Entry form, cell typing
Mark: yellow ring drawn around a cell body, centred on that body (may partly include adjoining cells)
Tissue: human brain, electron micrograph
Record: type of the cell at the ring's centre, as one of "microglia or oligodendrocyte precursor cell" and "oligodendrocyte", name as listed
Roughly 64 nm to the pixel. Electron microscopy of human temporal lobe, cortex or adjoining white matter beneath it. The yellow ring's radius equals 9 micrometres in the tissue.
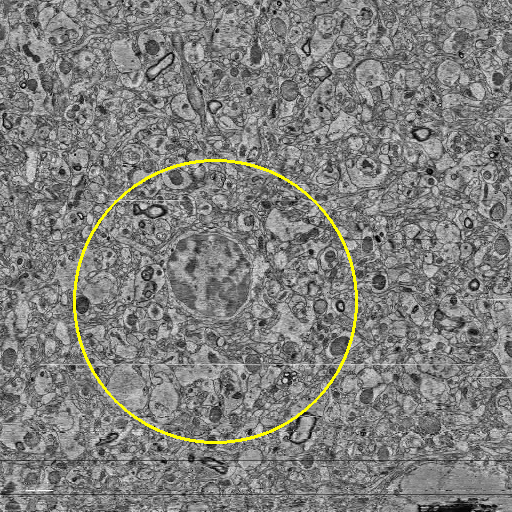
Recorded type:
microglia or oligodendrocyte precursor cell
